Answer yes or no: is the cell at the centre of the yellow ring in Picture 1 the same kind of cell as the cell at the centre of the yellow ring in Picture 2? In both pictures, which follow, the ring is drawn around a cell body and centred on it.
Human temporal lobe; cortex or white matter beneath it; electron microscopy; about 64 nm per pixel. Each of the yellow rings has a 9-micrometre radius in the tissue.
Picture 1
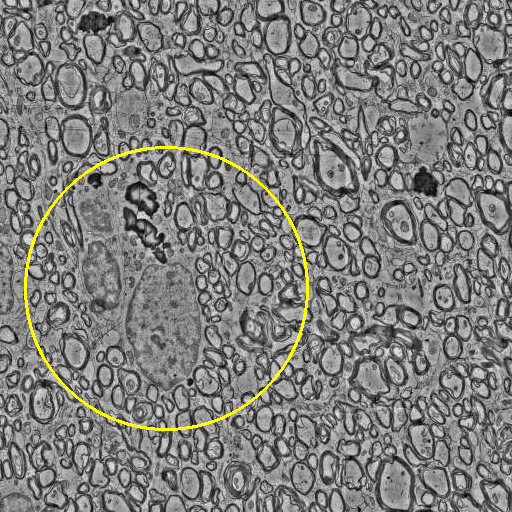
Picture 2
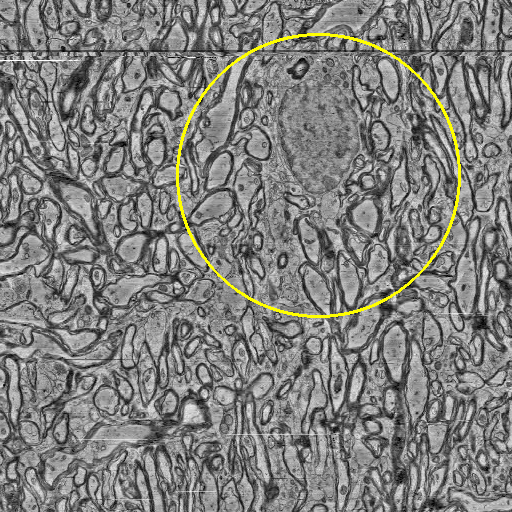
yes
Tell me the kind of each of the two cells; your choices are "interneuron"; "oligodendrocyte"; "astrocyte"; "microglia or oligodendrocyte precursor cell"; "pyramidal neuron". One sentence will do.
Each one of the two ringed cells is an oligodendrocyte.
